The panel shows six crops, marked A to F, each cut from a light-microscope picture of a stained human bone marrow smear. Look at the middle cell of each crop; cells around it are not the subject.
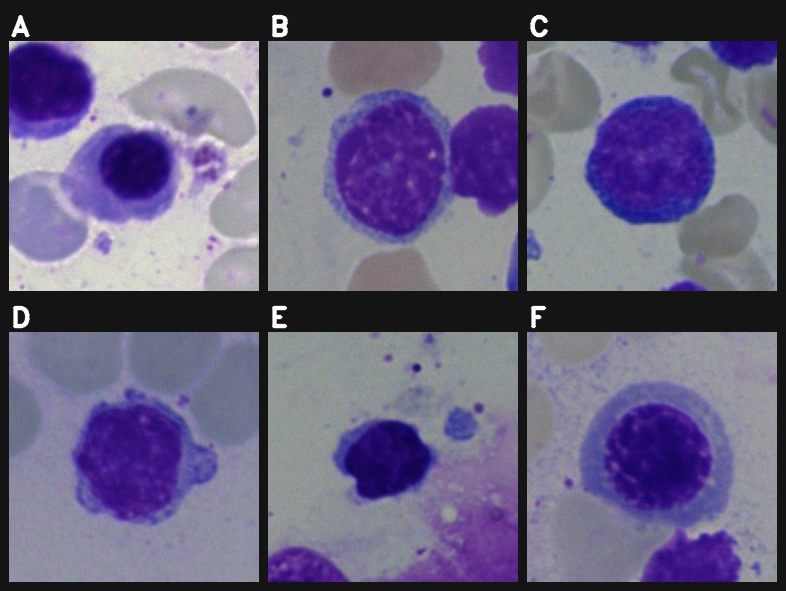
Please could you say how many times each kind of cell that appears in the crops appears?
erythroblast: 2
blast: 2
lymphocyte: 2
